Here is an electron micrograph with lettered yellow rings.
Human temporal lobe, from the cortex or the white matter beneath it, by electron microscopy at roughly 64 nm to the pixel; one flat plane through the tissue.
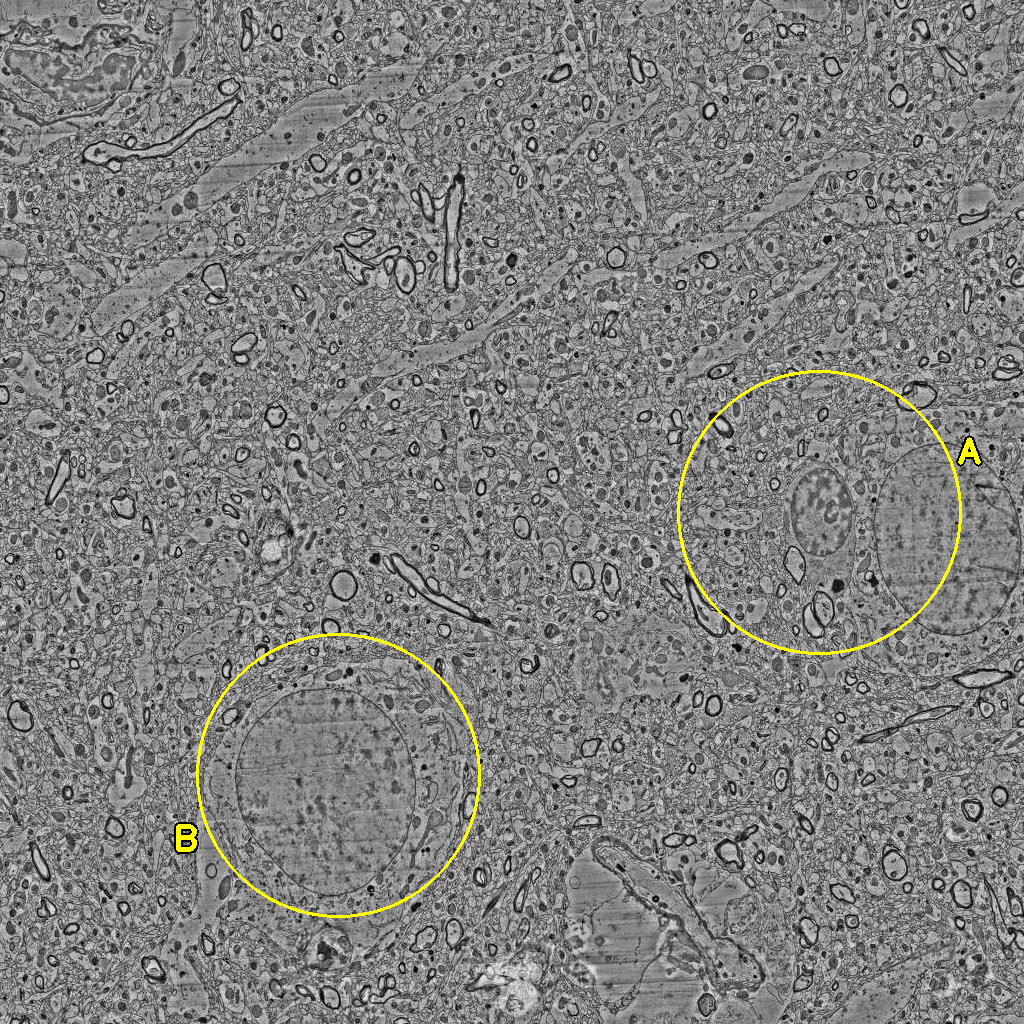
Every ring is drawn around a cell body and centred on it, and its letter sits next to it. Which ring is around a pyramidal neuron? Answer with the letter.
B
